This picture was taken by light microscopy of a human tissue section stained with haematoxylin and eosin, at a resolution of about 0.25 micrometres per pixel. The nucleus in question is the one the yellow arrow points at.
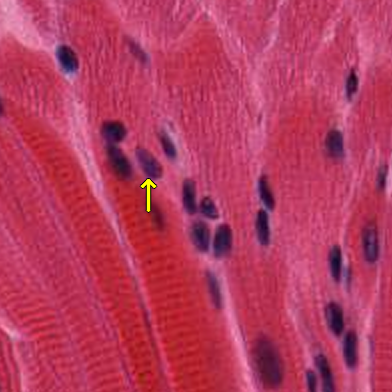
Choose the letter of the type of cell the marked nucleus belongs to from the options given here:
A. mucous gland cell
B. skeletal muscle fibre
B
